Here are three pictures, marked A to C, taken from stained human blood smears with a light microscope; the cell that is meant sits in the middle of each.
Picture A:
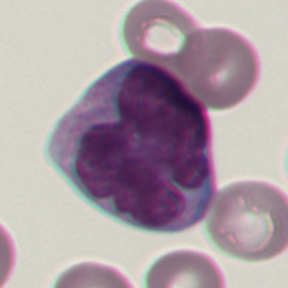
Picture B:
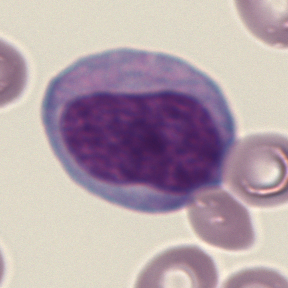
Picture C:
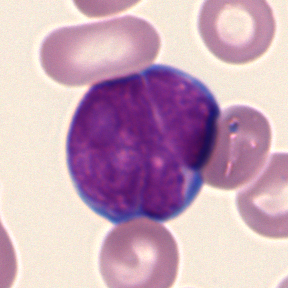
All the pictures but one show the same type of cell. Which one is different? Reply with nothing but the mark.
C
